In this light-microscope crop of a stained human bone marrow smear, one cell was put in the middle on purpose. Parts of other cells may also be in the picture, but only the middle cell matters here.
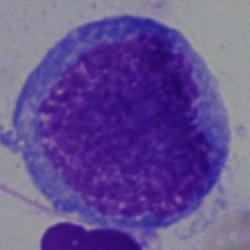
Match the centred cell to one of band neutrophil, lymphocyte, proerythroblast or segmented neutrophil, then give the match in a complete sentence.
The cell centred in this crop is categorized as a proerythroblast.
